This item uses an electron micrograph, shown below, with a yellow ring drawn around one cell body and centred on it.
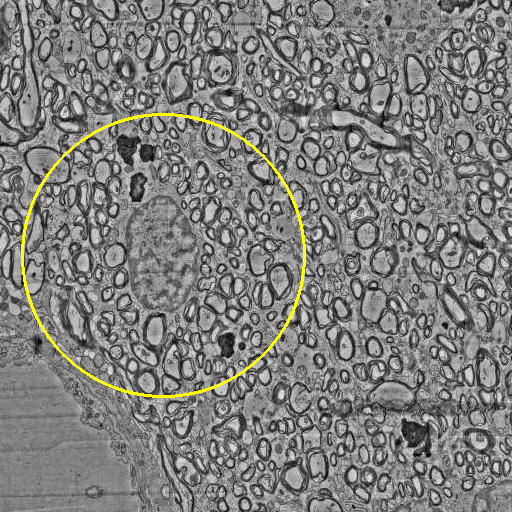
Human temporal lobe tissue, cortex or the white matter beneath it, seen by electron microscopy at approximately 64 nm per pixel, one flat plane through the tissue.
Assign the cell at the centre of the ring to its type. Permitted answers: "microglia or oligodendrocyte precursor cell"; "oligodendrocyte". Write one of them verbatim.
oligodendrocyte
